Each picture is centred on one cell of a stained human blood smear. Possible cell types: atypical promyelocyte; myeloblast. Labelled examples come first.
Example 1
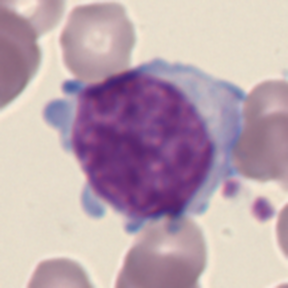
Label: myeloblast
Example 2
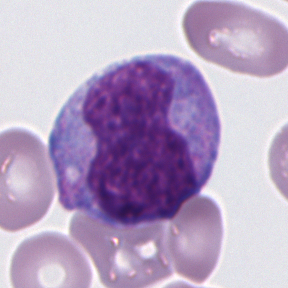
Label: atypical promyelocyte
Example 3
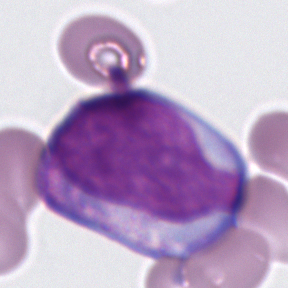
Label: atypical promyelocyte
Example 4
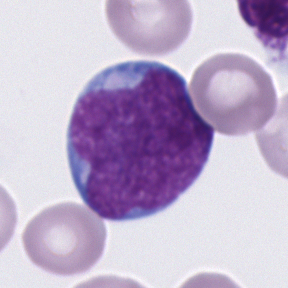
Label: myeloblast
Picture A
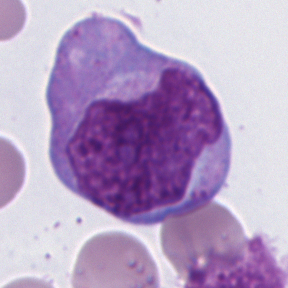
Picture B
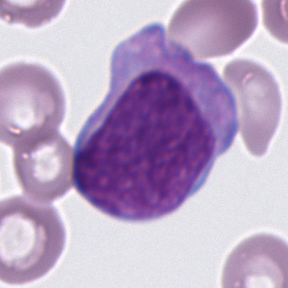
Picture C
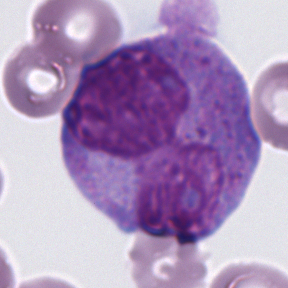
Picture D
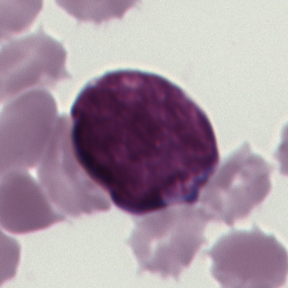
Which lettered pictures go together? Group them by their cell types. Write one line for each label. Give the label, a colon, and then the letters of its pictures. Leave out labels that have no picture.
atypical promyelocyte: A, B, C
myeloblast: D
